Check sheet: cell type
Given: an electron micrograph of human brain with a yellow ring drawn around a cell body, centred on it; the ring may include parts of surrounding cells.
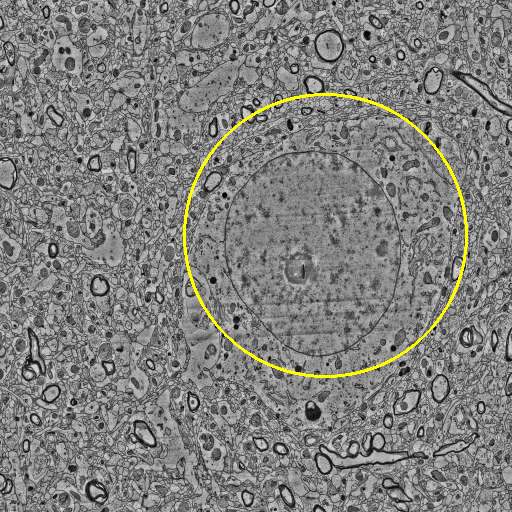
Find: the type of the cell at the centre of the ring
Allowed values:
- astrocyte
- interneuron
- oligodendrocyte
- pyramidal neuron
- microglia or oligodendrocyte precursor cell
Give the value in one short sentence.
Here the ringed cell is a pyramidal neuron.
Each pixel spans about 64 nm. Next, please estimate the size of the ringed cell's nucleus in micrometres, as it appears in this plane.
In this plane the nucleus is about 13 micrometres by 11.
